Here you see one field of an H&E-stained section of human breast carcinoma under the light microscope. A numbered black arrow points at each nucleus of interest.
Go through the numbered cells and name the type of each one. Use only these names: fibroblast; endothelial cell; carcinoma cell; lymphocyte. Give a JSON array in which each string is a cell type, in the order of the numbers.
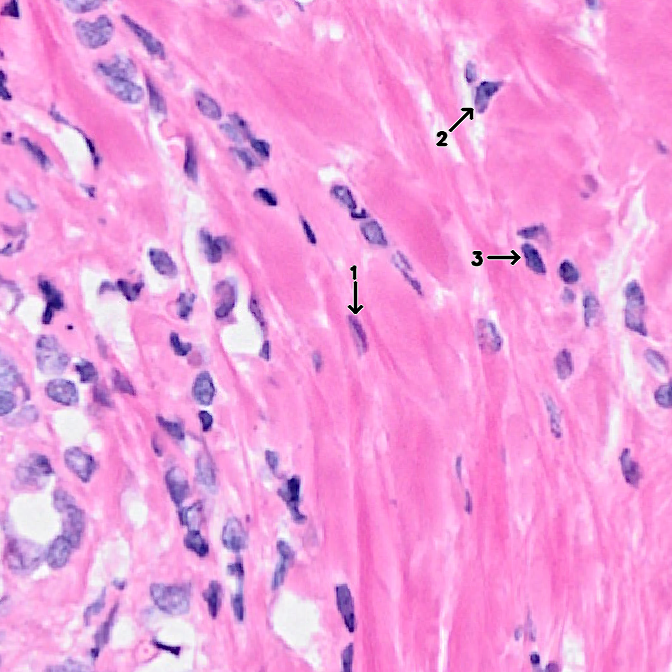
["fibroblast", "lymphocyte", "lymphocyte"]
